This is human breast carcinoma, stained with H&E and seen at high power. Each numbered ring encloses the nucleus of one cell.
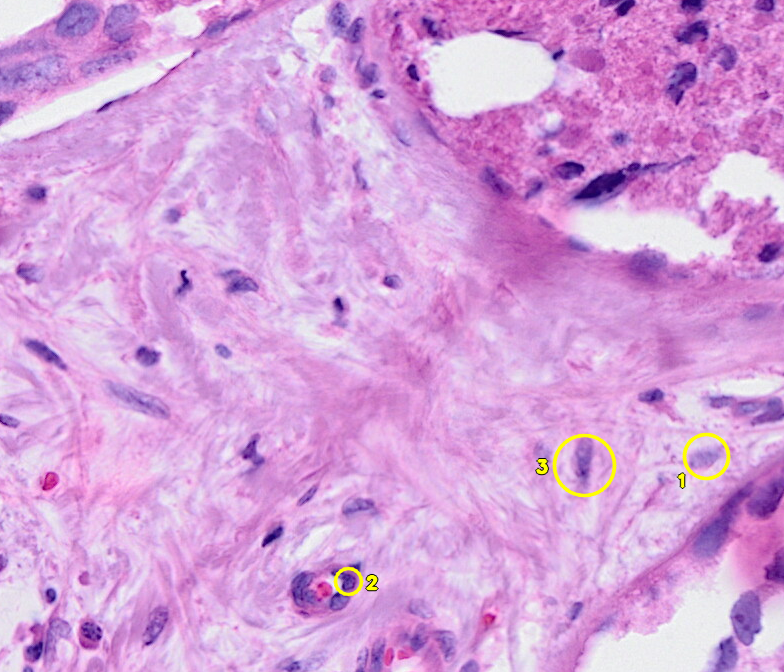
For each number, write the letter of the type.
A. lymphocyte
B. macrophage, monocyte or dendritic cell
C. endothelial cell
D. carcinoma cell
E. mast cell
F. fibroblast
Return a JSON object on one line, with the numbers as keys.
{"1": "F", "2": "C", "3": "F"}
